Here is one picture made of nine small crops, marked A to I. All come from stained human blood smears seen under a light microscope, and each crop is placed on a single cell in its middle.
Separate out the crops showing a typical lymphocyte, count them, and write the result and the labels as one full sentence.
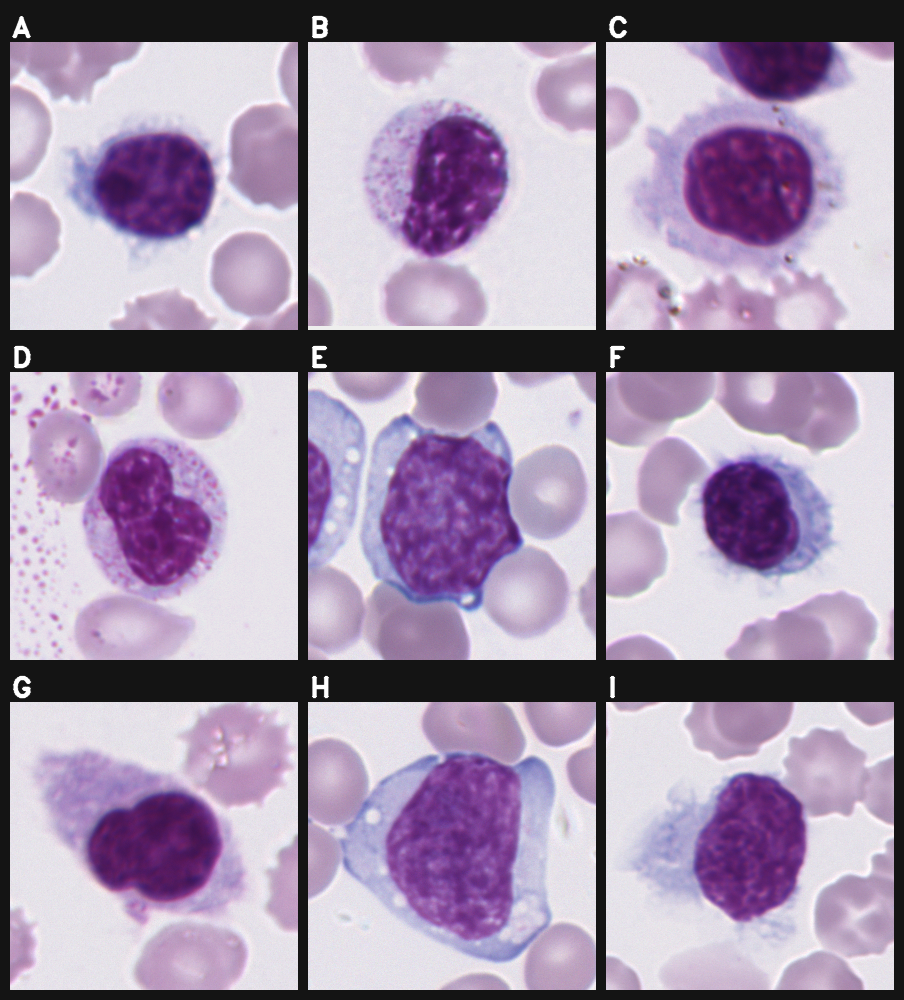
The crops, taken together, show no typical lymphocytes, so the count is zero.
